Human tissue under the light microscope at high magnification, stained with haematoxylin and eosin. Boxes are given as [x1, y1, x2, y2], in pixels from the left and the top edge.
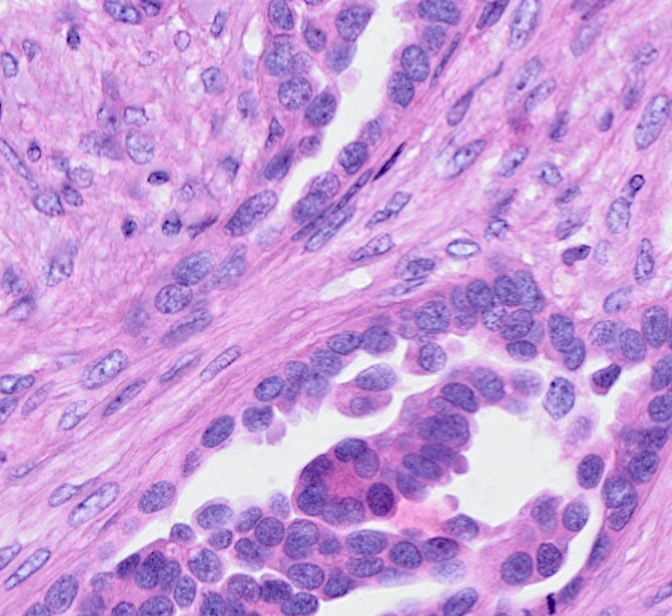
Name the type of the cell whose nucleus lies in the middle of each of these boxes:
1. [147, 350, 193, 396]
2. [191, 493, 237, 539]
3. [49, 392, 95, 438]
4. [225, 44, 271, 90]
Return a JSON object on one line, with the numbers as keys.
{"1": "fibroblast", "2": "carcinoma cell", "3": "fibroblast", "4": "fibroblast"}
